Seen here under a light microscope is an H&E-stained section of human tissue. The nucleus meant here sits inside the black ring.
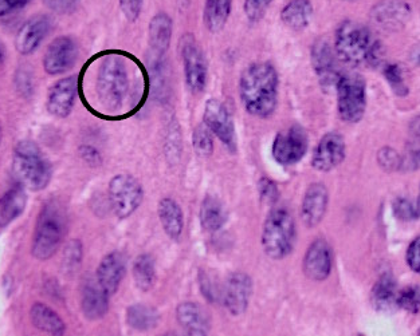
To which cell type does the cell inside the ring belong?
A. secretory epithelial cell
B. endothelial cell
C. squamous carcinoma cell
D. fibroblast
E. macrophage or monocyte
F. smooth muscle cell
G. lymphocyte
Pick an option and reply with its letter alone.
C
